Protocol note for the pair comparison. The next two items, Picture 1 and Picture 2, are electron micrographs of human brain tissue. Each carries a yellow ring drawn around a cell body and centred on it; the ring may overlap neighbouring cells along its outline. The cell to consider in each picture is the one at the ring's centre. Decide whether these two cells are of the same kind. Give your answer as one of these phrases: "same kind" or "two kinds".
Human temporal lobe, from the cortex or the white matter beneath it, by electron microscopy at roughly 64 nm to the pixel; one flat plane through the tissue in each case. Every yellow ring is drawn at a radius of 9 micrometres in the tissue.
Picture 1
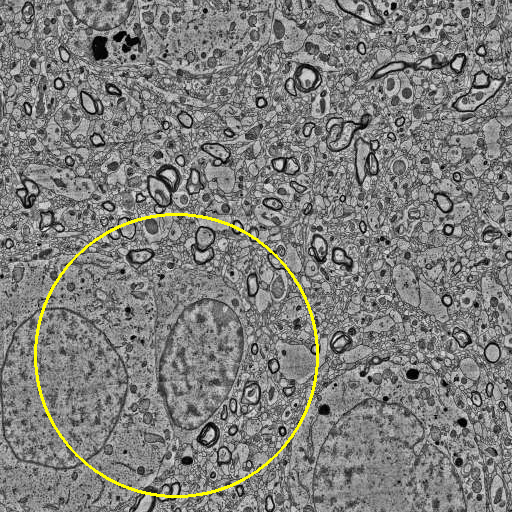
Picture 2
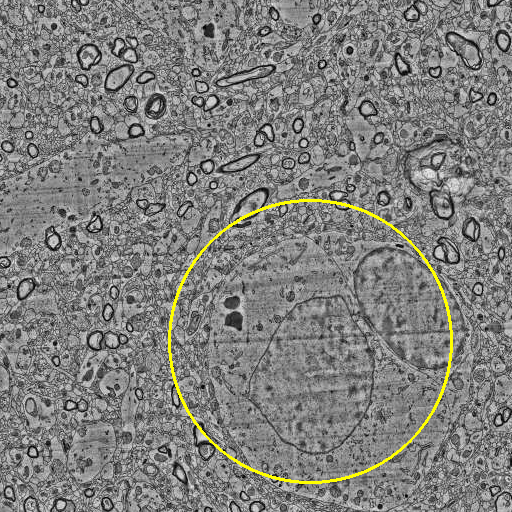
two kinds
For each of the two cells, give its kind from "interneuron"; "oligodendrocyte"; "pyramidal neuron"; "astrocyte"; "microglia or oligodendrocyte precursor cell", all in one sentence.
The first picture has an oligodendrocyte in its ring, the second has a pyramidal neuron.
